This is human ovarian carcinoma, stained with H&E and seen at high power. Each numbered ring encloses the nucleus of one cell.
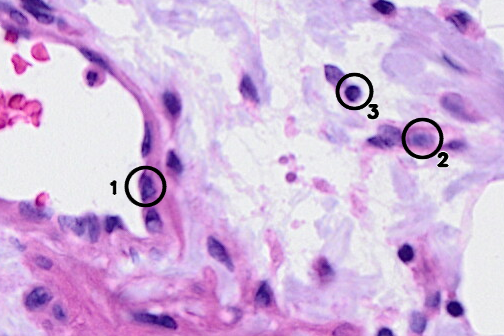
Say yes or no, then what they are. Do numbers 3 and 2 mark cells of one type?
No, cell 3 is a lymphocyte and cell 2 is an endothelial cell.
